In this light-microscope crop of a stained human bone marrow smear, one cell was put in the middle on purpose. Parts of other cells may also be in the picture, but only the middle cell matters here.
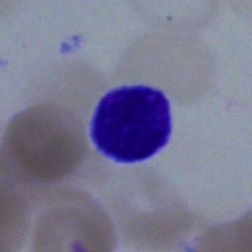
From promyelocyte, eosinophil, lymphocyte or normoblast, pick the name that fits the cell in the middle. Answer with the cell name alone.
lymphocyte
